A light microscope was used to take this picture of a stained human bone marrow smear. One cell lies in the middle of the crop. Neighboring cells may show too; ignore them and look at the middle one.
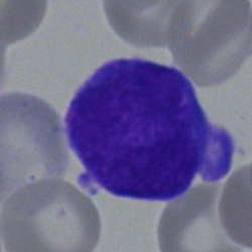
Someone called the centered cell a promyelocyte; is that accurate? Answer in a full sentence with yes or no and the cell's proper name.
No, instead of a promyelocyte, the centred cell represents a blast.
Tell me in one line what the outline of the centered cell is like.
Not smooth, the outline of the cell is ragged or drawn out into projections.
